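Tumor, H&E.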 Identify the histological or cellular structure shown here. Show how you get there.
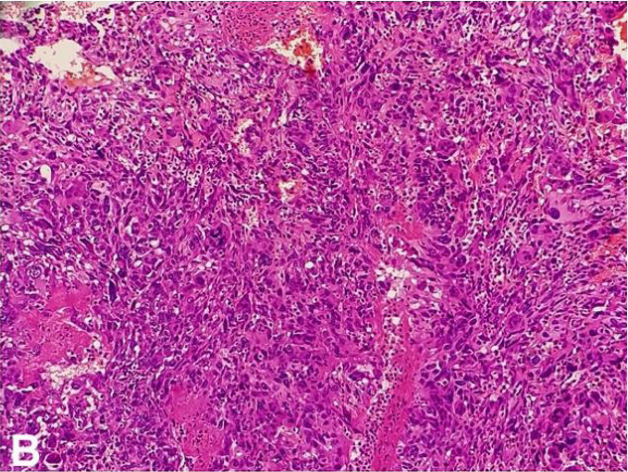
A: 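Densely cellular sheets of elongated cells with dark nuclei. Cells are loosely aligned in ill-defined streams. No gland formation is seen.
Vague fascicles of spindle cells.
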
